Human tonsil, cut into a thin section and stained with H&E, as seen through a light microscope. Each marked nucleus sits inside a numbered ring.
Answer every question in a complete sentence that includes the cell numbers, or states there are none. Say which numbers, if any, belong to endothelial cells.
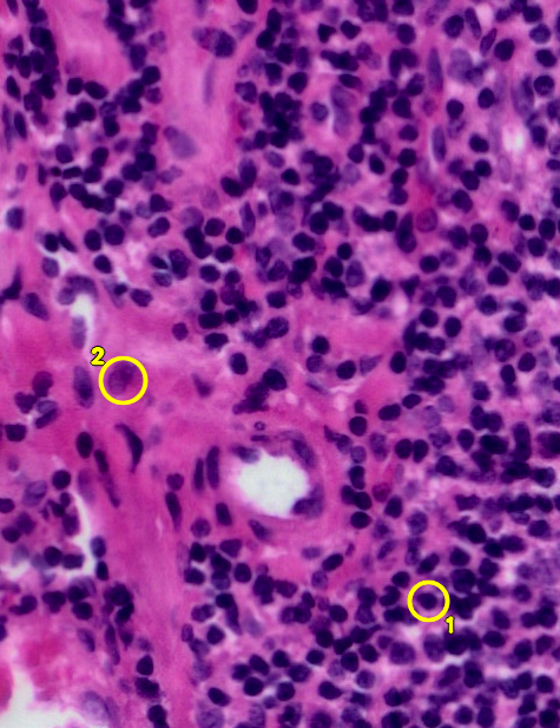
Only at number 2 is there an endothelial cell among the marked cells.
